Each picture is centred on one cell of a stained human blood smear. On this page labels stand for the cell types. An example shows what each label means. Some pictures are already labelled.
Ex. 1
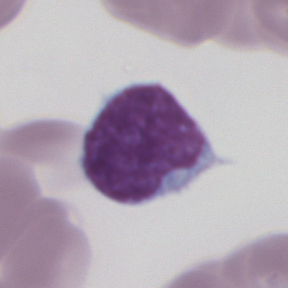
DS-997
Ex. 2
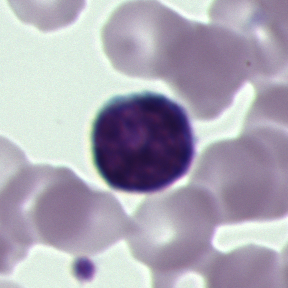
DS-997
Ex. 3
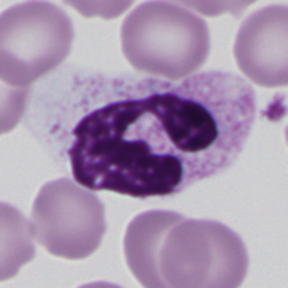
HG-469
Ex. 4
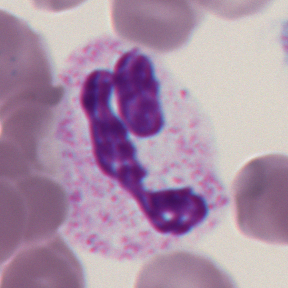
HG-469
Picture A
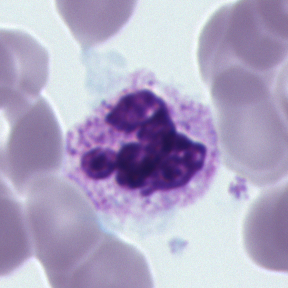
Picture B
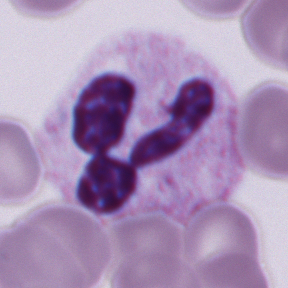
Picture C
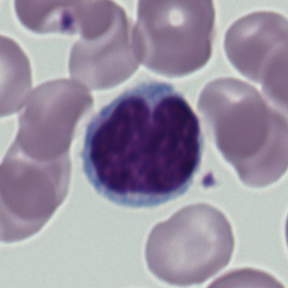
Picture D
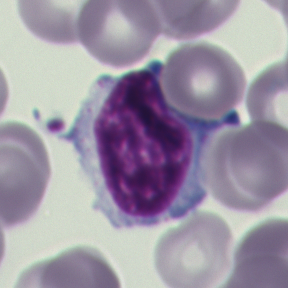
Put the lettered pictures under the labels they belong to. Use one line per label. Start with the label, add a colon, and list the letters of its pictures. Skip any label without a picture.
DS-997: C, D
HG-469: A, B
